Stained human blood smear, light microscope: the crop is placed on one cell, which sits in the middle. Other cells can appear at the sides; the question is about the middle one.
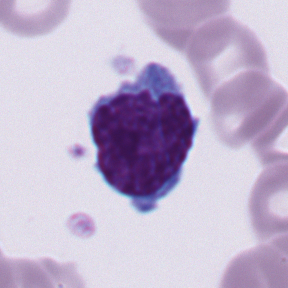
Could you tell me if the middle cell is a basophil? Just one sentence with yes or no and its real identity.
No, the cell of interest here is a typical lymphocyte and not a basophil.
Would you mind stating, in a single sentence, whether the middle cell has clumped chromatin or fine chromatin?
If you check the nucleus, you will find the chromatin coarsely clumped.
